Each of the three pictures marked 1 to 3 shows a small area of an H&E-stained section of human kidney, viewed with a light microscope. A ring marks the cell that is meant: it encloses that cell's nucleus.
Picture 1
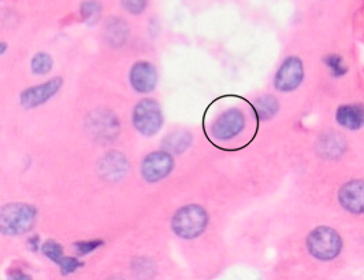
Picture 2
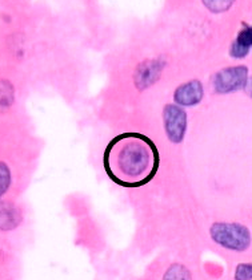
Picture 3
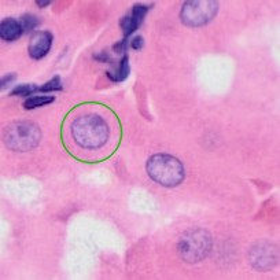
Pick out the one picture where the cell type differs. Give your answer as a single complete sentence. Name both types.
Picture 1 differs, because its cell is a “loop of Henle or distal tubule cell” and the rest are proximal tubule cells.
